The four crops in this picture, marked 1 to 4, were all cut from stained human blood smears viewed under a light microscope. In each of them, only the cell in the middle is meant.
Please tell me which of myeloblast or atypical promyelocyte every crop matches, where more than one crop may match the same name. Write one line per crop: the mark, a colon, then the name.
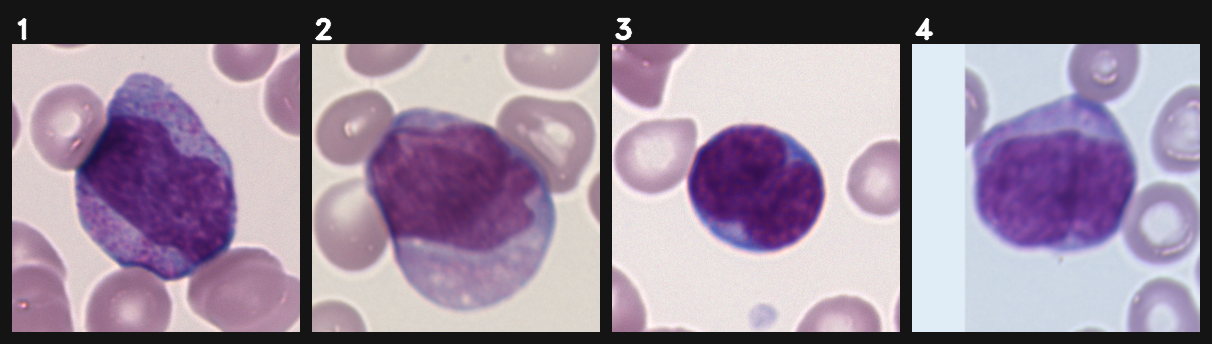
1: atypical promyelocyte
2: atypical promyelocyte
3: myeloblast
4: atypical promyelocyte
